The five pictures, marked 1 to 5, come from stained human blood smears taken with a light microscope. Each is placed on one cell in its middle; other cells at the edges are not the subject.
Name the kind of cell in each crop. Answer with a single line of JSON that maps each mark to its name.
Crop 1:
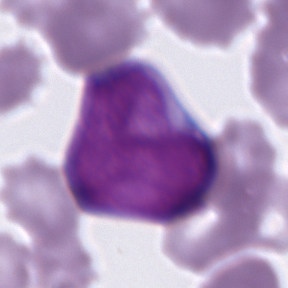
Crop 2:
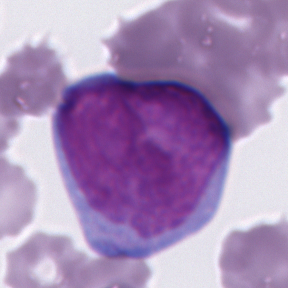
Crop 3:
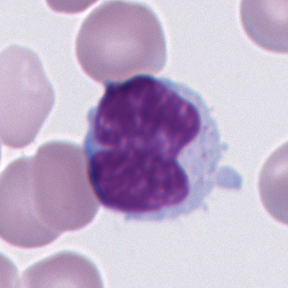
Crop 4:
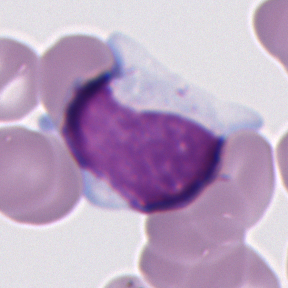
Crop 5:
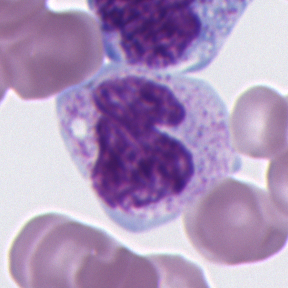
{"1": "myeloblast", "2": "myeloblast", "3": "large granular lymphocyte", "4": "large granular lymphocyte", "5": "band neutrophil"}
